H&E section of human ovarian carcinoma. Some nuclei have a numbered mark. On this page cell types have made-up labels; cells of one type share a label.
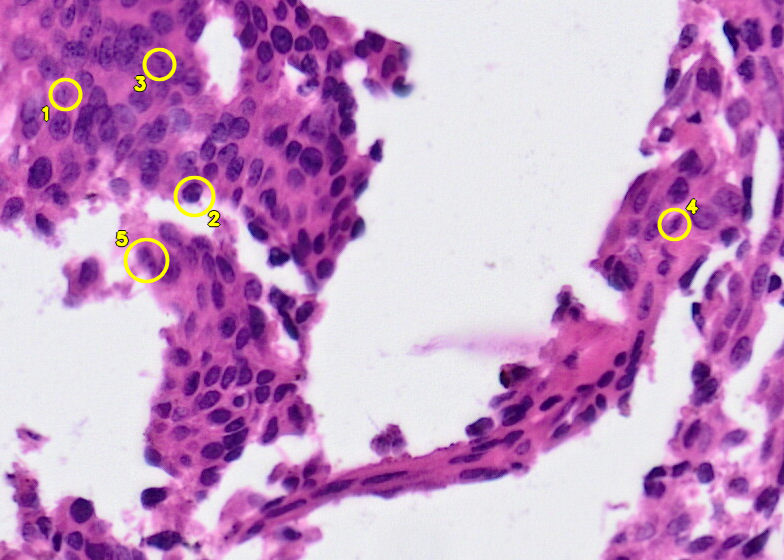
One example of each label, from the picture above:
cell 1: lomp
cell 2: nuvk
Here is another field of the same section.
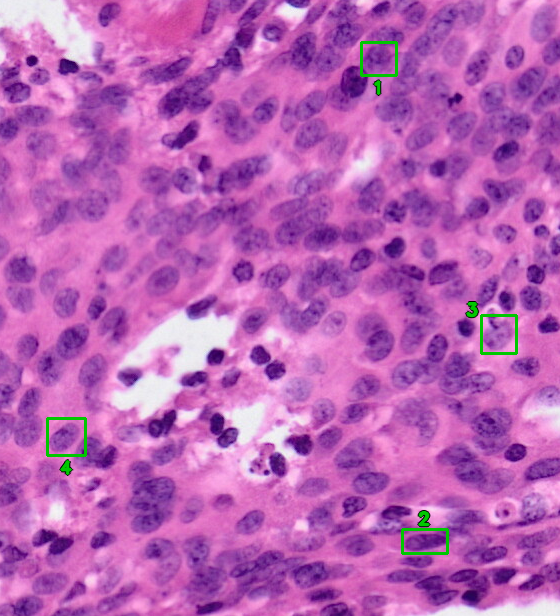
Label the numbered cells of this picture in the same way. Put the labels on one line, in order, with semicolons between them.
nuvk; nuvk; lomp; nuvk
